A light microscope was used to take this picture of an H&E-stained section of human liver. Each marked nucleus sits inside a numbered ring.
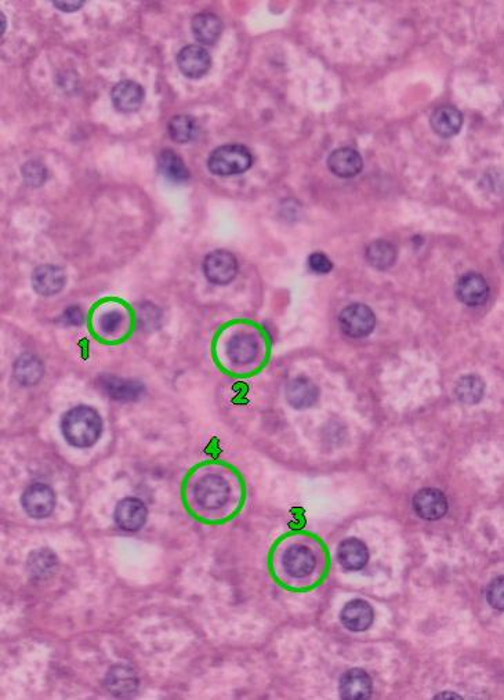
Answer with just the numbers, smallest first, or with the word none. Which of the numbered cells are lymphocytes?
1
